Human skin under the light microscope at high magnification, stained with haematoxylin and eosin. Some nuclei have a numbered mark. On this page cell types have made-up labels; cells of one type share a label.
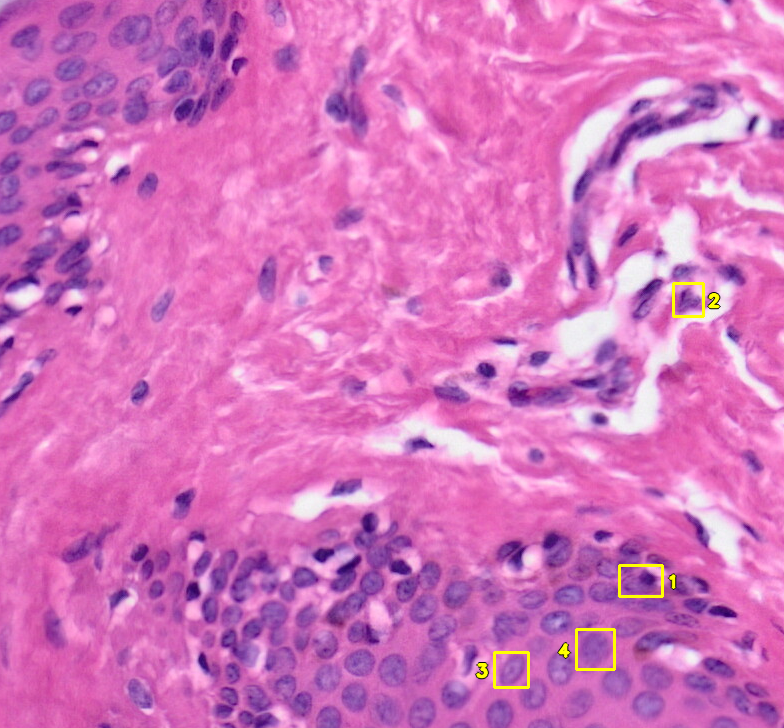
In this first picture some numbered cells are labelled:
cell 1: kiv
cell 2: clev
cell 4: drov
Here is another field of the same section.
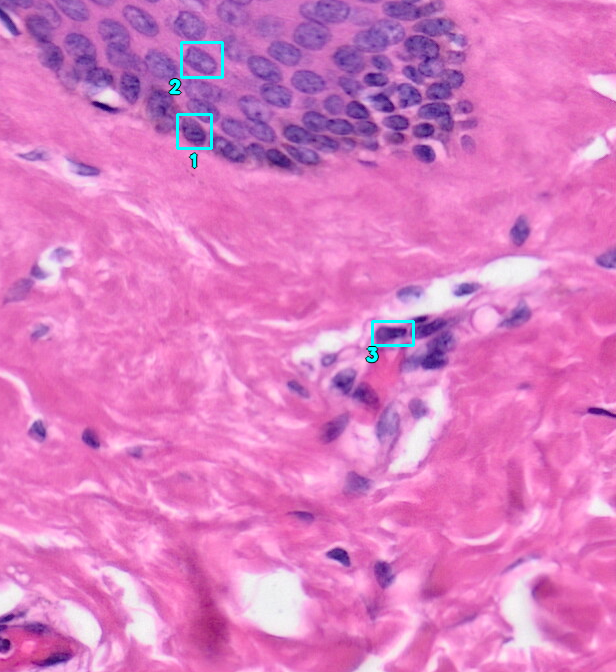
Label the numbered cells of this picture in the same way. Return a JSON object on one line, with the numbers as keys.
{"1": "kiv", "2": "drov", "3": "clev"}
